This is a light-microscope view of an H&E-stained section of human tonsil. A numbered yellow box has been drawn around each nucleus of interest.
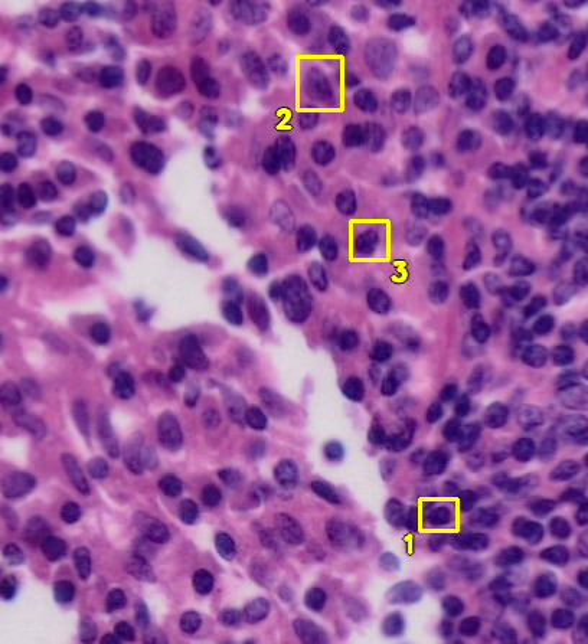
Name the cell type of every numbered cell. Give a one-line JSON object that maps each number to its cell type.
{"1": "small lymphocyte", "2": "squamous epithelial cell", "3": "plasma cell"}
